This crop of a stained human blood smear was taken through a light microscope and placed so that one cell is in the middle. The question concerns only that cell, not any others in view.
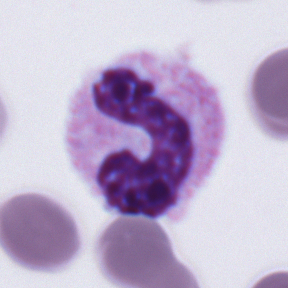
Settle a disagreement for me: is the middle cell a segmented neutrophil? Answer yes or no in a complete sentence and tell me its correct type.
Yes, a segmented neutrophil is present in the middle of the crop.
